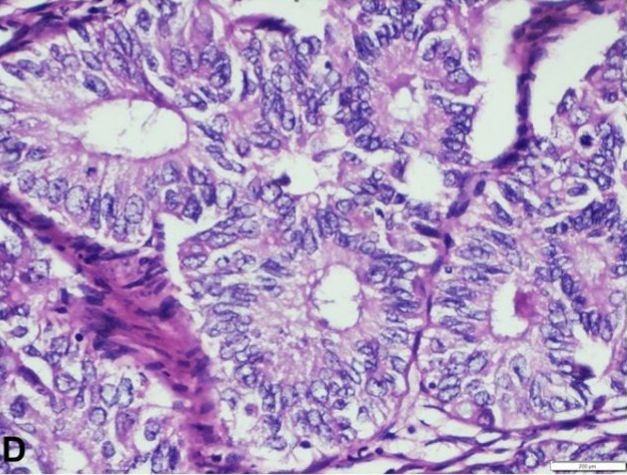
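Tumor cells of a gland-forming carcinoma are arranged around small, round lumens, forming back-to-back glands. The cells are columnar with oval, somewhat crowded and stratified nuclei that vary moderately in size and shape. Thin strands of stroma with elongated spindle nuclei separate the glands.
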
